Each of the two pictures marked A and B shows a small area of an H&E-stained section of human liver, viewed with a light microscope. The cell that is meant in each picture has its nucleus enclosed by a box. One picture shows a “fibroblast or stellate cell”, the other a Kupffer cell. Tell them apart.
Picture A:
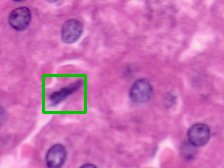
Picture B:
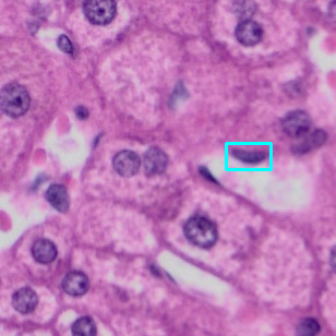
A: Kupffer cell
B: fibroblast or stellate cell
